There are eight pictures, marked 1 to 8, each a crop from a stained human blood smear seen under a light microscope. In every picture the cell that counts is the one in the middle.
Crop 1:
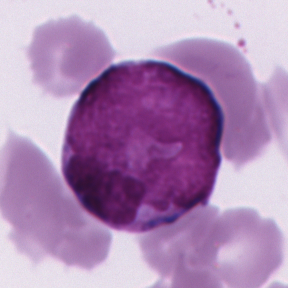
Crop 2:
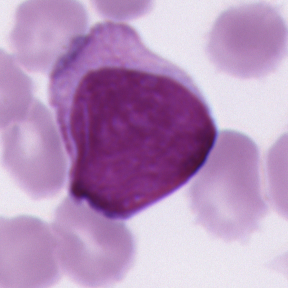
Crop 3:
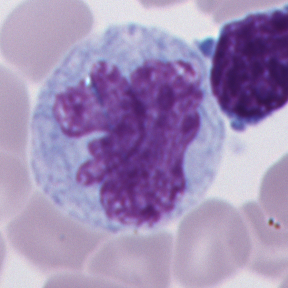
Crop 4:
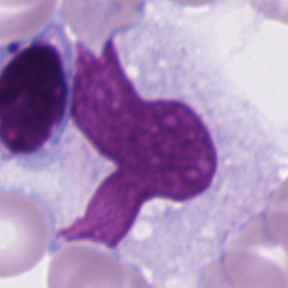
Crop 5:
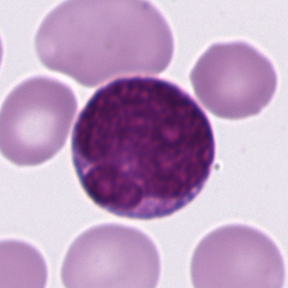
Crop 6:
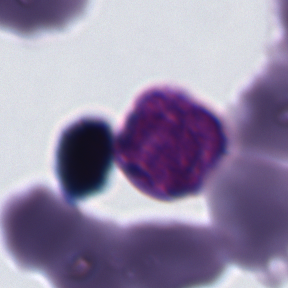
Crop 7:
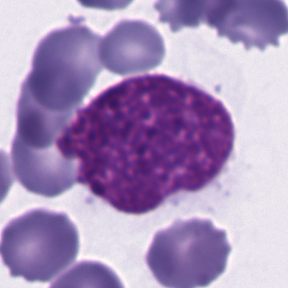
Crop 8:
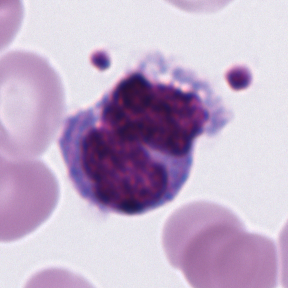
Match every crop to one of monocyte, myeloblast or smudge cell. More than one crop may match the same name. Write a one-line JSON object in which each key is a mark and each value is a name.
{"1": "myeloblast", "2": "myeloblast", "3": "monocyte", "4": "monocyte", "5": "myeloblast", "6": "myeloblast", "7": "smudge cell", "8": "monocyte"}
